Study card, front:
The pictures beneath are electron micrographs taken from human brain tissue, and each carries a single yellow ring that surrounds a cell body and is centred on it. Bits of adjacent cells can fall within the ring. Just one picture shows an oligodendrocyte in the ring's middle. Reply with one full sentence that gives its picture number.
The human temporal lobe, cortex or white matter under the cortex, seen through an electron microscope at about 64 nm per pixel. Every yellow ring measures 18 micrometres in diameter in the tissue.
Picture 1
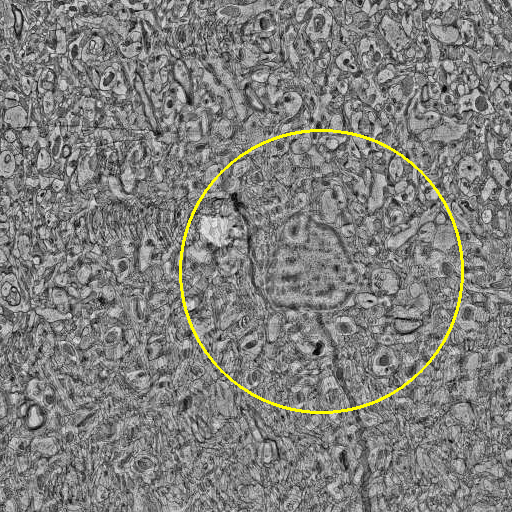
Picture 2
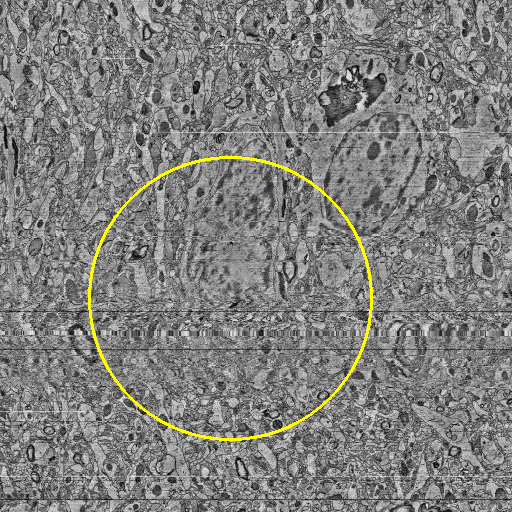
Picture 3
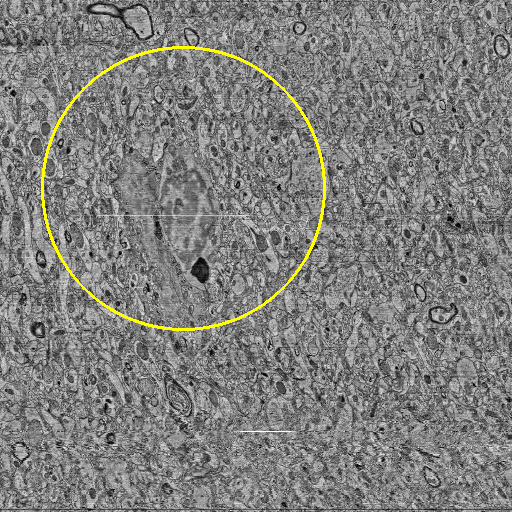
Picture 3 is the one whose ring has the requested cell at its centre.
